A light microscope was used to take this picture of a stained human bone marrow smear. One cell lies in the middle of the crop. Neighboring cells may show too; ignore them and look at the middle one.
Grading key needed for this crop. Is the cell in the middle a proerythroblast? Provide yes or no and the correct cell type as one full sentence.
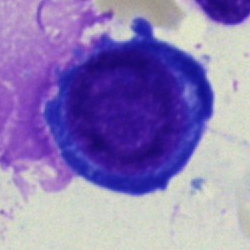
Yes, the one cell at the centre is a proerythroblast.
